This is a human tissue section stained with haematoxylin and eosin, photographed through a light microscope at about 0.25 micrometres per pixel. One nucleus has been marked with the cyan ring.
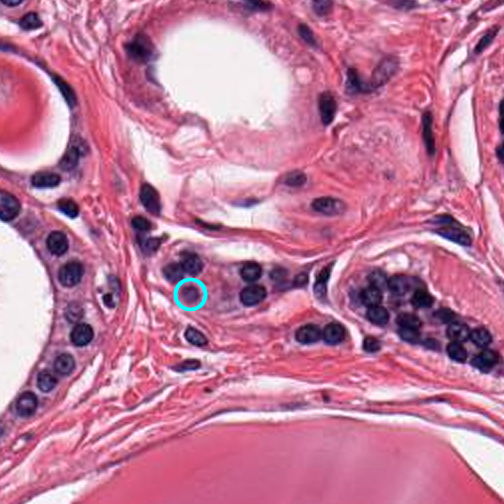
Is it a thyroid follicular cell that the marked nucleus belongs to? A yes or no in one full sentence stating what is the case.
Yes, the marked nucleus is recognised as belonging to a thyroid follicular cell.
